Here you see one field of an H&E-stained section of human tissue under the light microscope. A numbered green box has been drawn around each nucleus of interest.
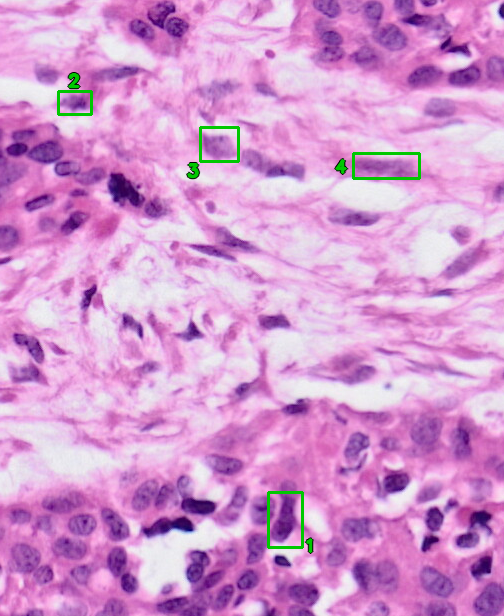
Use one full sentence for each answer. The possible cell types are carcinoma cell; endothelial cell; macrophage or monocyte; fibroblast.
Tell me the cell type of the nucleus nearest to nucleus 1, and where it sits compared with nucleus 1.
The nearest nucleus is that of a macrophage or monocyte and lies above and to the left of nucleus 1.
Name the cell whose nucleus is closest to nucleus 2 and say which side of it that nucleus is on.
A fibroblast lies closest, above and to the left of nucleus 2.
